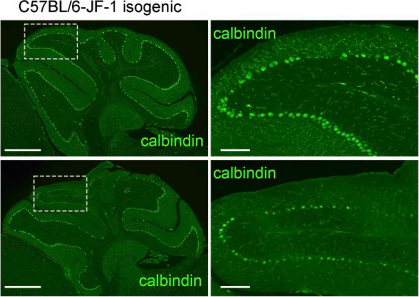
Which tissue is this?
Cerebella.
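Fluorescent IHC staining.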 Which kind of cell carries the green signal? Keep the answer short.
Purkinje cell.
